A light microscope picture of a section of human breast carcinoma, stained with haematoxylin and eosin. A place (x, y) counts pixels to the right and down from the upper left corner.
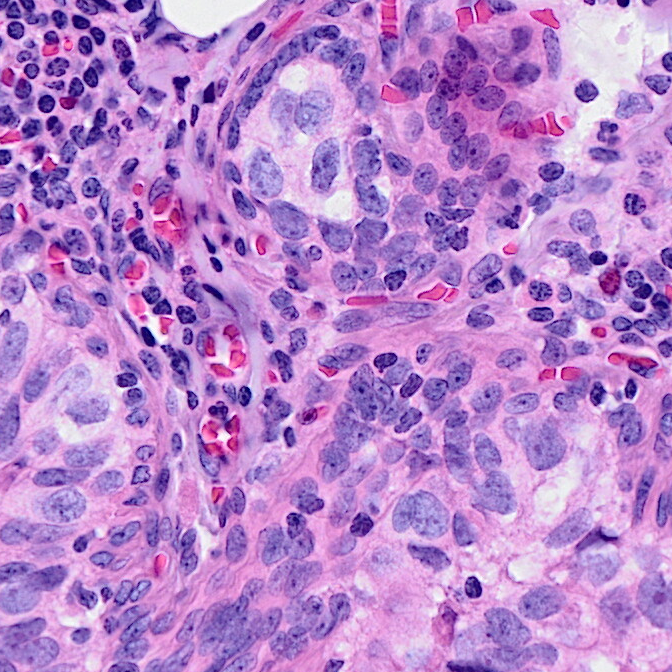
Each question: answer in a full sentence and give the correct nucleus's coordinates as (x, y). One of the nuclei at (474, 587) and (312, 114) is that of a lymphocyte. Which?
The cell to which the nucleus at (474, 587) belongs is a lymphocyte.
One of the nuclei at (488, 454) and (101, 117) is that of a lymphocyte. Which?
The correct choice is the nucleus at (101, 117), which belongs to a lymphocyte.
